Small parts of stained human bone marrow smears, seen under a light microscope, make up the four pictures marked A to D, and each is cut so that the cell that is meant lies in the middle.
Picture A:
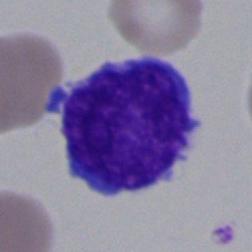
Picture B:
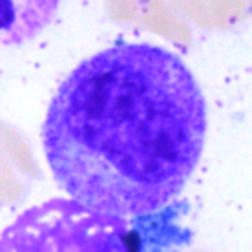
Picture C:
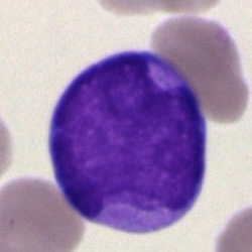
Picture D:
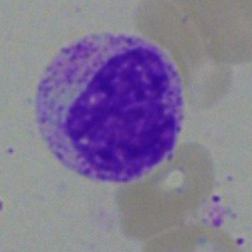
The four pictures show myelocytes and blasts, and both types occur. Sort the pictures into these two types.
A: blast
B: myelocyte
C: blast
D: myelocyte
